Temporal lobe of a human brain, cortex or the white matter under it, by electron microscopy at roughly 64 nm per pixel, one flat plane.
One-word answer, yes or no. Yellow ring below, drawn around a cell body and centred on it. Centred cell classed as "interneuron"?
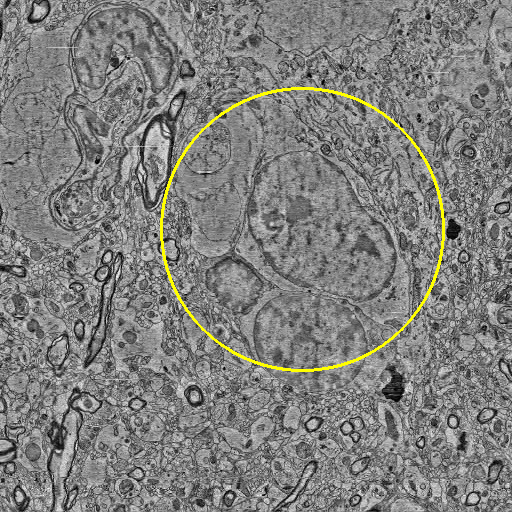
no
